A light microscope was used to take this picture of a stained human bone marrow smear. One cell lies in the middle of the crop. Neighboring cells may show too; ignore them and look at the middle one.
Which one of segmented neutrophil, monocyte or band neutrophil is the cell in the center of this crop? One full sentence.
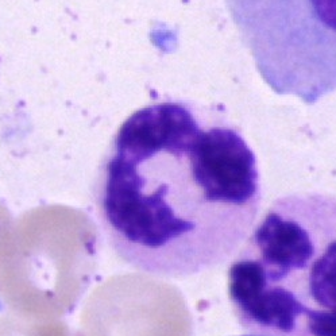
Centrally within this crop lies a segmented neutrophil.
